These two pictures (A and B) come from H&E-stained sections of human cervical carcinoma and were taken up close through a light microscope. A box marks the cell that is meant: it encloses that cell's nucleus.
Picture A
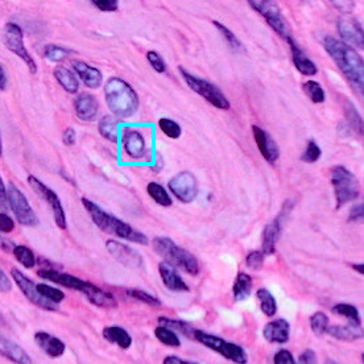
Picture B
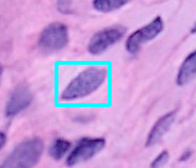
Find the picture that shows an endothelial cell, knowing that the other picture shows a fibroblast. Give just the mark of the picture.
A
